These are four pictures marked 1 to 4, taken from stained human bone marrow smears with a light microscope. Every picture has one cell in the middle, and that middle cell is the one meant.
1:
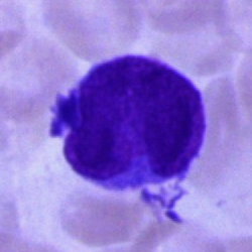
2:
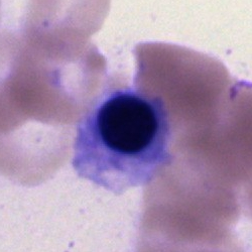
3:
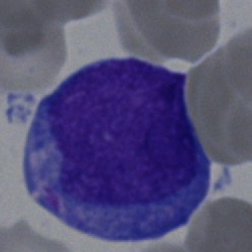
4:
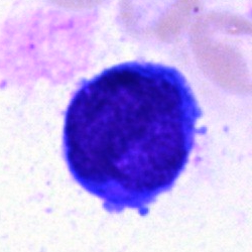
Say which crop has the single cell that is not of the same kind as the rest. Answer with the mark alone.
2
